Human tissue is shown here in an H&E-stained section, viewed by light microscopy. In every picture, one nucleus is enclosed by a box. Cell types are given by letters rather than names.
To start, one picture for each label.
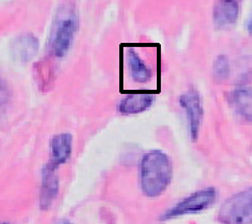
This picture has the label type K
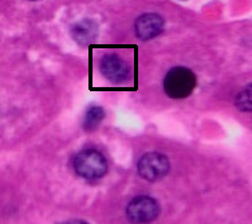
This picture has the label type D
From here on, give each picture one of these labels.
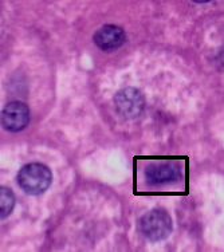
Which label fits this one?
type D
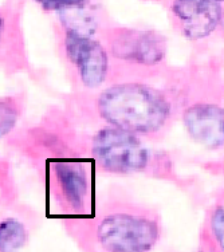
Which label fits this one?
type K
